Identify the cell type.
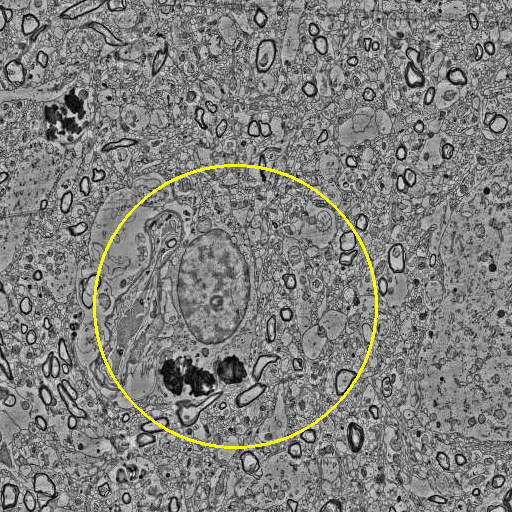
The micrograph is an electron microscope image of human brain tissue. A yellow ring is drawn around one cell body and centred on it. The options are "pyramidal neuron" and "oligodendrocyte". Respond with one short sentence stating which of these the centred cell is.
The cell body in the ring belongs to an oligodendrocyte.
